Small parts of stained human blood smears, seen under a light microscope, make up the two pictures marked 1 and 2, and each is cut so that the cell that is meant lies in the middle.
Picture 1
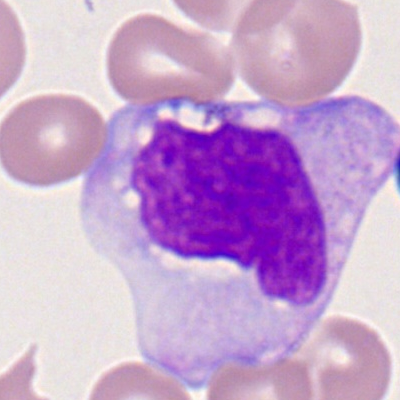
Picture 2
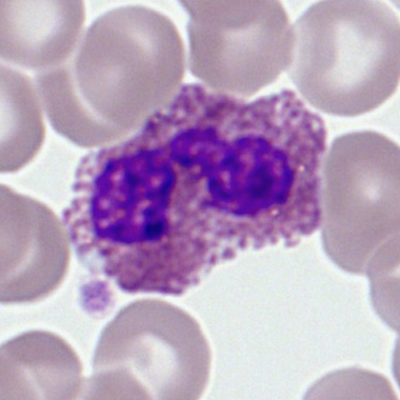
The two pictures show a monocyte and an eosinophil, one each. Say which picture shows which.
1: monocyte
2: eosinophil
